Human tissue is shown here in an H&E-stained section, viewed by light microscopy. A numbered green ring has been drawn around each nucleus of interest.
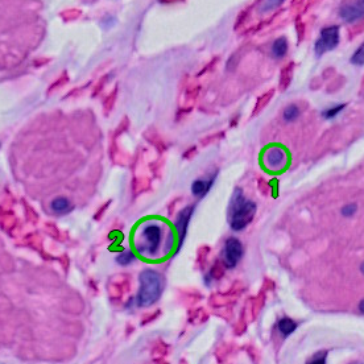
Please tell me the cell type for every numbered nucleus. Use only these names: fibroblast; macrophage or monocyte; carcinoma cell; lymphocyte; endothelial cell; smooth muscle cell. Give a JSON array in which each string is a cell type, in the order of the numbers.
["smooth muscle cell", "lymphocyte"]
